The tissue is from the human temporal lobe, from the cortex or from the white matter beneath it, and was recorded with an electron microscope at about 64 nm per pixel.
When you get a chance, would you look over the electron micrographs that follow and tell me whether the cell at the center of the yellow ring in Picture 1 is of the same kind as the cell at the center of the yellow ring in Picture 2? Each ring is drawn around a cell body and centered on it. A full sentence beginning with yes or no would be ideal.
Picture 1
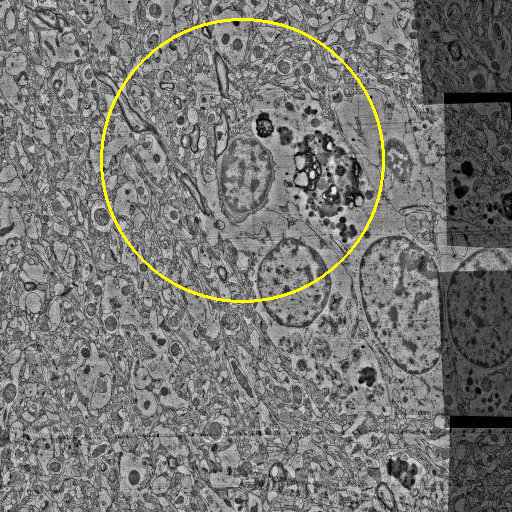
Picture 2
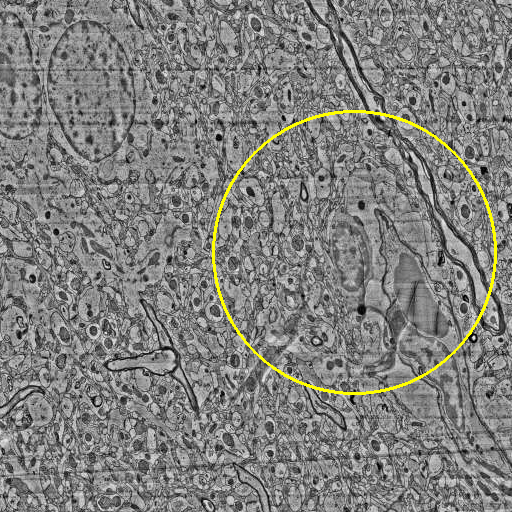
Yes, the two cells are of the same kind.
